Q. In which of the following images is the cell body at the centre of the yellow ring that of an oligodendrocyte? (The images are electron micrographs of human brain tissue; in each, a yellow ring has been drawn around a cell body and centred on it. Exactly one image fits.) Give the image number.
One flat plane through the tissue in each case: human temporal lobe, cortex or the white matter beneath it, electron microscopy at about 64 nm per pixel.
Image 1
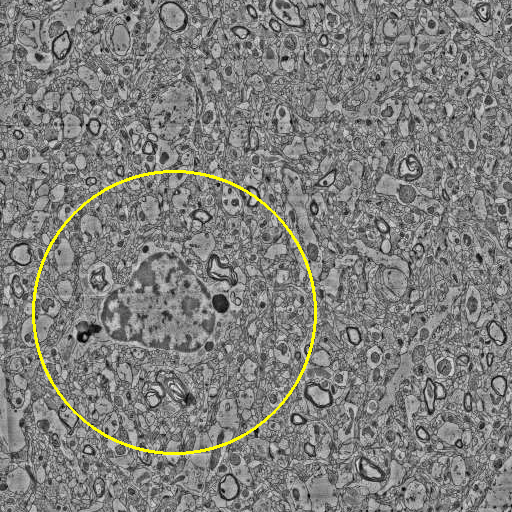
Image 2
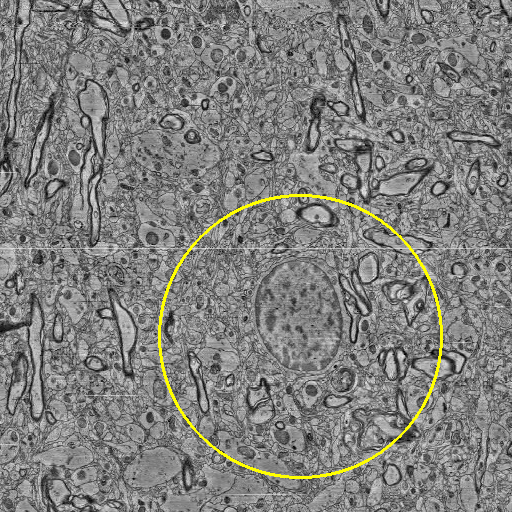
2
